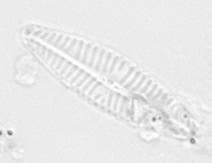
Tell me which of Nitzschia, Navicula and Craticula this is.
The picture shows Navicula.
